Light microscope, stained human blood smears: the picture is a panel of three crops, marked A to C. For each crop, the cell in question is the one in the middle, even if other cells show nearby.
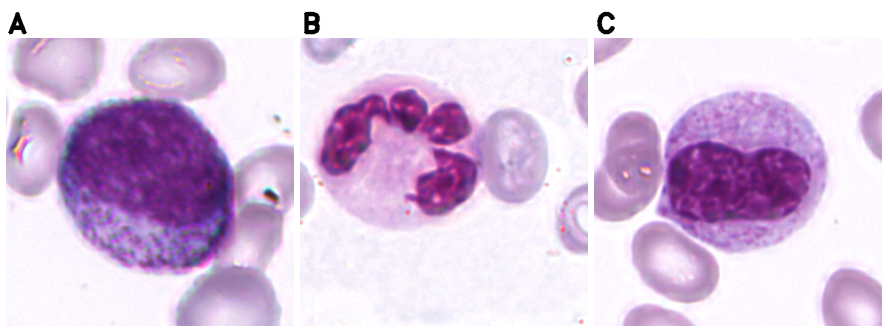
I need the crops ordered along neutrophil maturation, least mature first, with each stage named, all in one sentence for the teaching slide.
Proceeding from least to most mature, the order is crop A (a promyelocyte), crop C (a metamyelocyte) and crop B (a segmented neutrophil).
